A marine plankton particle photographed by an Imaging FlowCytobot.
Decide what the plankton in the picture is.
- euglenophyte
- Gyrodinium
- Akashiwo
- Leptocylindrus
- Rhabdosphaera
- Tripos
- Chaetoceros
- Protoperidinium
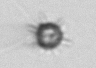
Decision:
Rhabdosphaera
